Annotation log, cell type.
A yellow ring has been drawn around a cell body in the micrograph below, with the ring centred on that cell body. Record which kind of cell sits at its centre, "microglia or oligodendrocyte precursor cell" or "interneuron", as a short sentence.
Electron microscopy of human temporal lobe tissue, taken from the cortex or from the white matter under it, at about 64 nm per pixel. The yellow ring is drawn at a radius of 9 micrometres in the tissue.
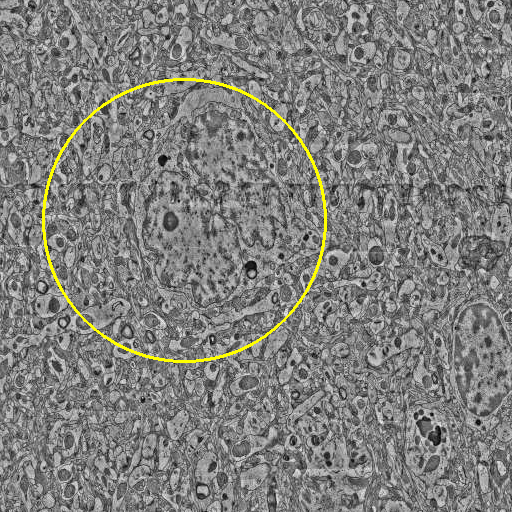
The cell at the centre of this ring is an interneuron.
